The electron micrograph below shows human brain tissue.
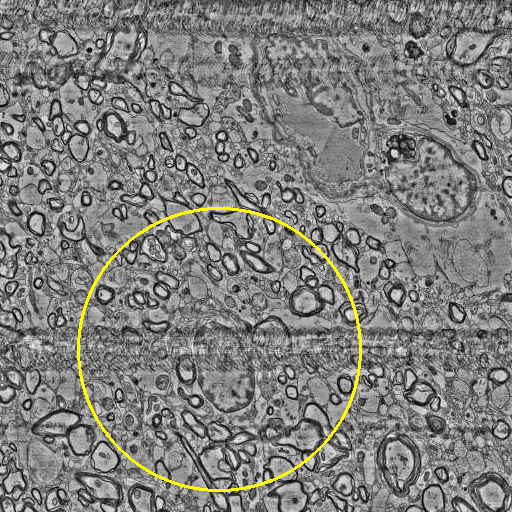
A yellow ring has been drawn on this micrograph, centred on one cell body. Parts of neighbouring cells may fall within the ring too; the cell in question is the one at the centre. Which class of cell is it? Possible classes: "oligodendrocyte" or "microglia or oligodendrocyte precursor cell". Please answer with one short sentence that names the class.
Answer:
In the centre of the ring sits a microglial cell or oligodendrocyte precursor cell.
